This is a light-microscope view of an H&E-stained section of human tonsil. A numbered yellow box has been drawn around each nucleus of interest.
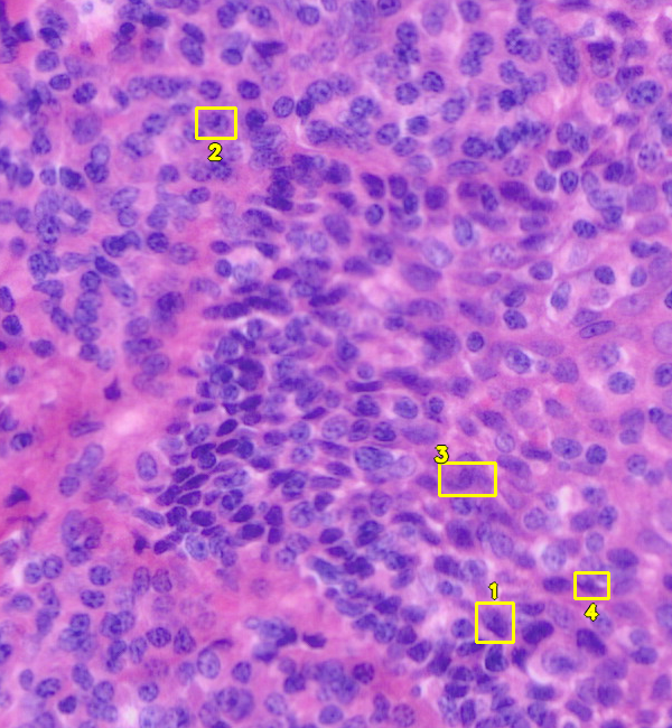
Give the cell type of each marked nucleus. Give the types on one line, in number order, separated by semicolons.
squamous epithelial cell; plasma cell; squamous epithelial cell; squamous epithelial cell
